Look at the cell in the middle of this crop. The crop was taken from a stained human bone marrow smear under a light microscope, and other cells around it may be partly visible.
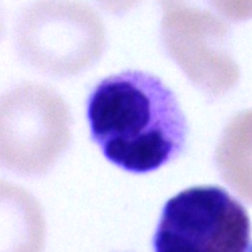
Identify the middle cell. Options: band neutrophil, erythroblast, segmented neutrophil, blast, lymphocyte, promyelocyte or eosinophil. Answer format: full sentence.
The cell at the centre of the field is a segmented neutrophil.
